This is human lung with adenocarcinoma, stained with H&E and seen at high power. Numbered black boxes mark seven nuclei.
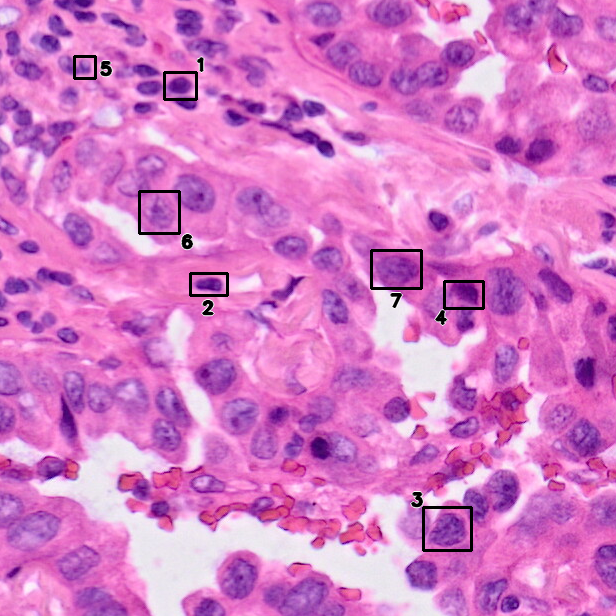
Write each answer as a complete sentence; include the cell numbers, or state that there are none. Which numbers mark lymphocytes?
Cells 1, 2 and 5 are recognised here as lymphocytes.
